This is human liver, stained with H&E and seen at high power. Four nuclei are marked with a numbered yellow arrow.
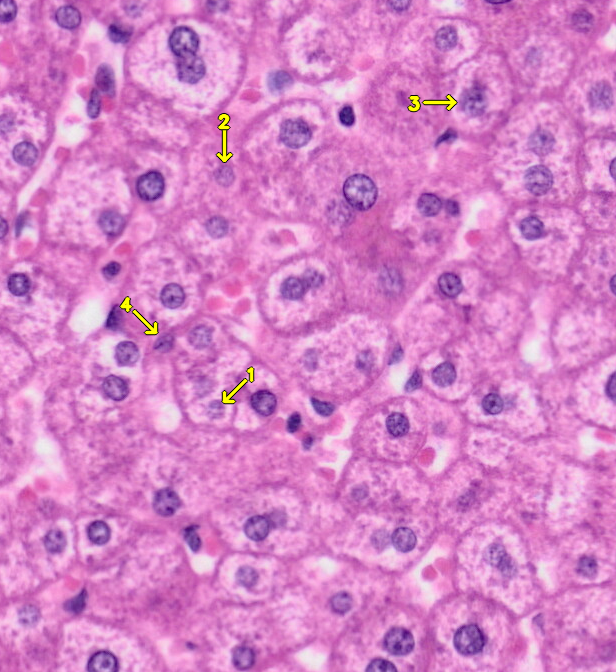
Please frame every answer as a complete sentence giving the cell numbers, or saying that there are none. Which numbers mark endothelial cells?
Only the cell at mark 4 is an endothelial cell, and no other marked cell is.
